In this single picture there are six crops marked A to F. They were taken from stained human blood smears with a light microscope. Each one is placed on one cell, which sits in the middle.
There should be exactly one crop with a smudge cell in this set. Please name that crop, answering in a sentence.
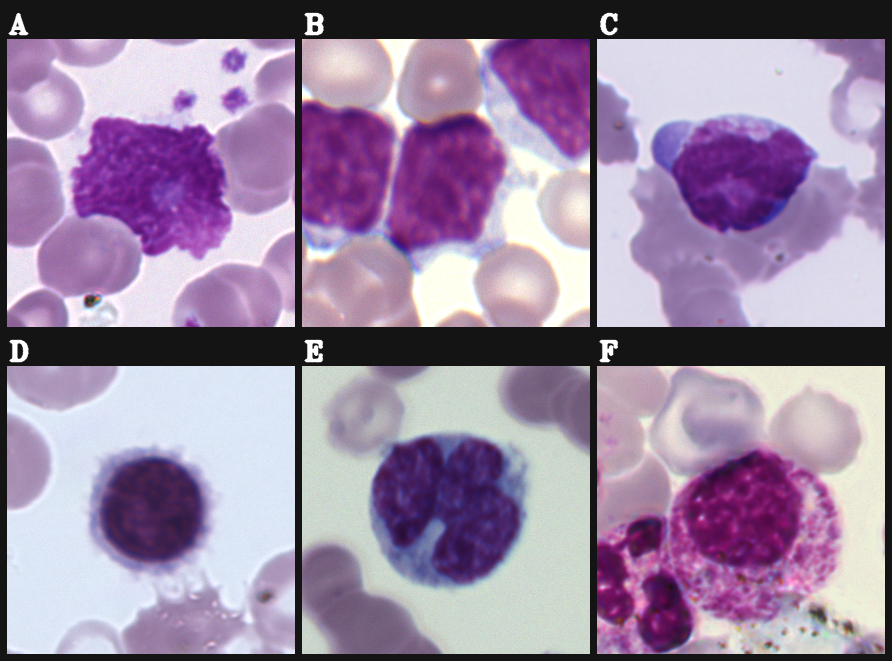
The correct choice is crop A, the one showing a smudge cell.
